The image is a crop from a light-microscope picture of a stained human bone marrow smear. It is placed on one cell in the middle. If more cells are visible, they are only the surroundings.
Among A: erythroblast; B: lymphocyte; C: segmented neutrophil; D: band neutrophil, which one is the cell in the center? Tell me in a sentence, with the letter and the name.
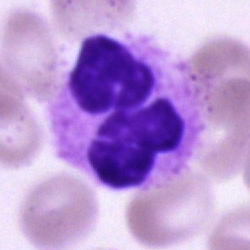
The cell in the middle is a segmented neutrophil, so option C is correct.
